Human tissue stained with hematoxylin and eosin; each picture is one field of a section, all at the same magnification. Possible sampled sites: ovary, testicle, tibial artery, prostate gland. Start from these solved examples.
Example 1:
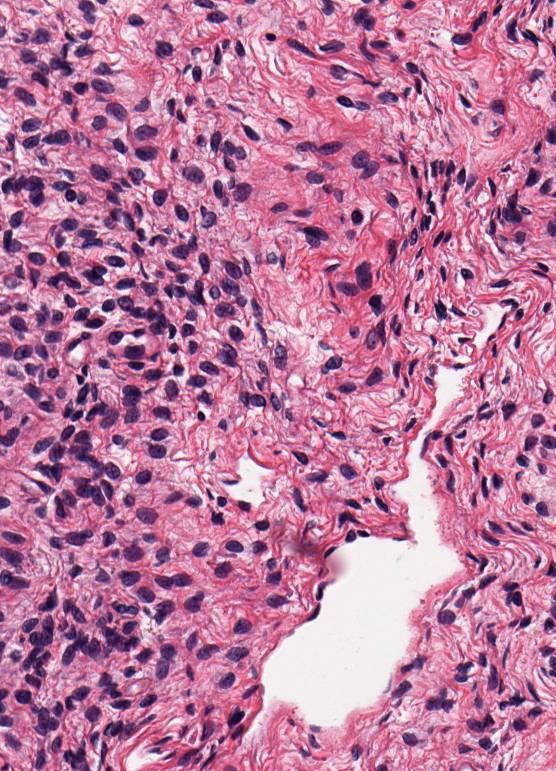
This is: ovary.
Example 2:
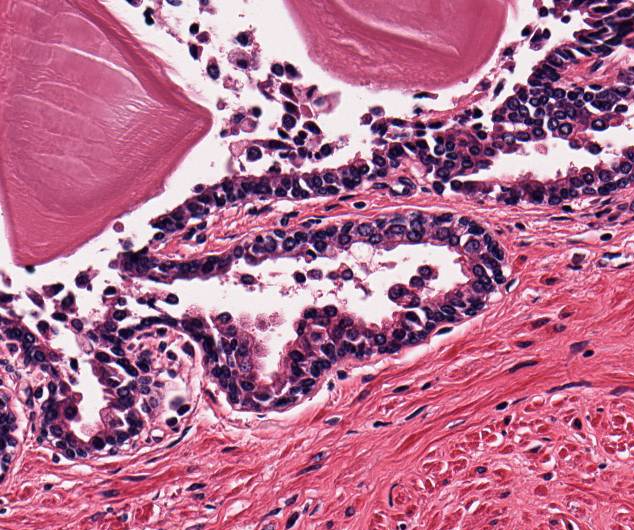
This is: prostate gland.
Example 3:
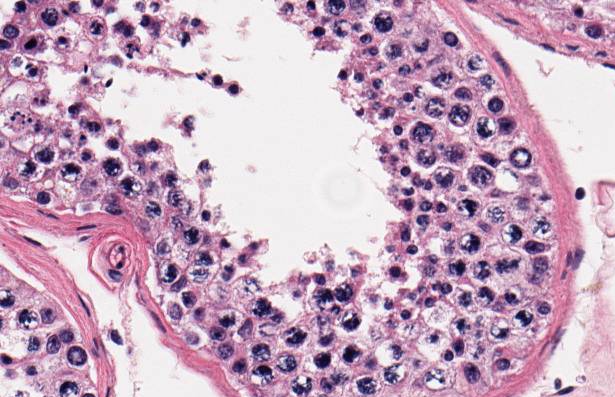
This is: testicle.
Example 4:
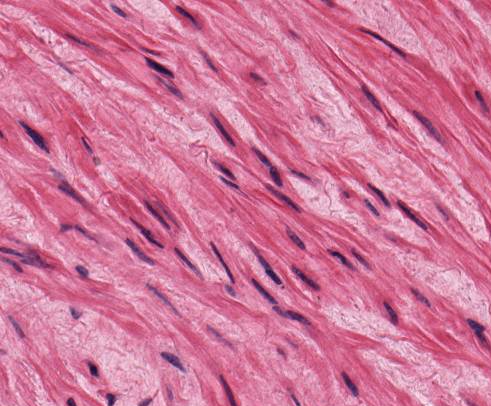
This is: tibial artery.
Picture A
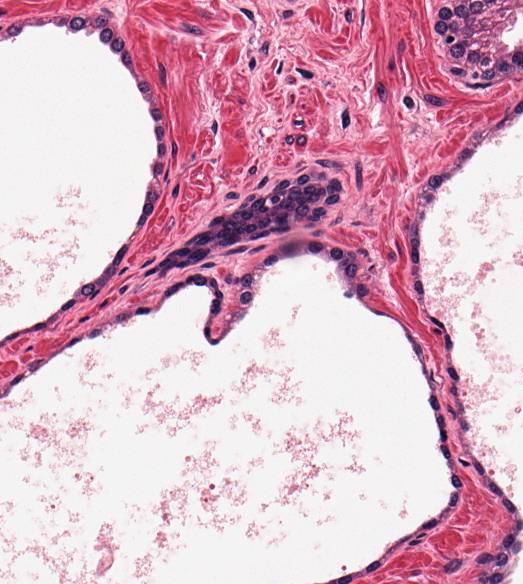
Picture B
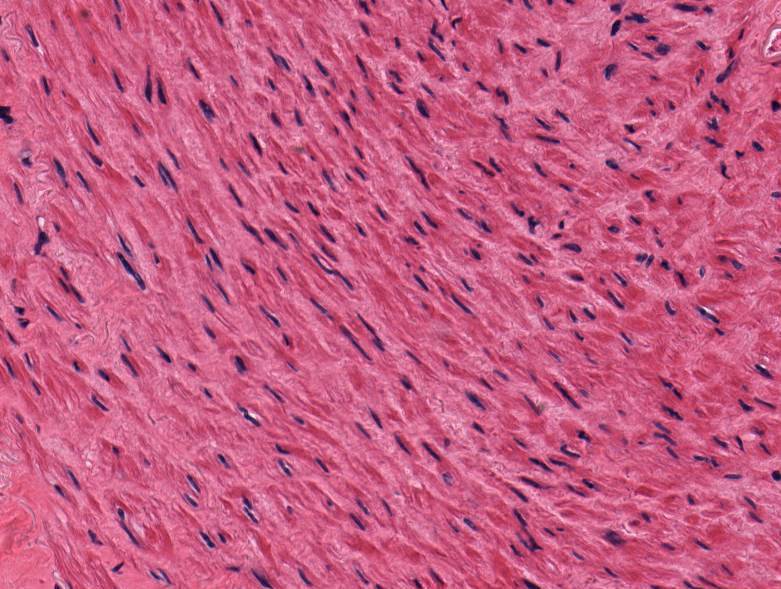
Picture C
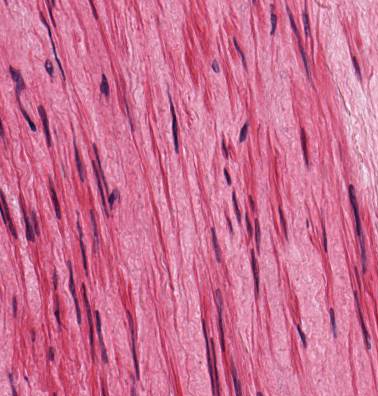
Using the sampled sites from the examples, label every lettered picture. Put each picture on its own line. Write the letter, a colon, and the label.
A: prostate gland.
B: tibial artery.
C: tibial artery.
